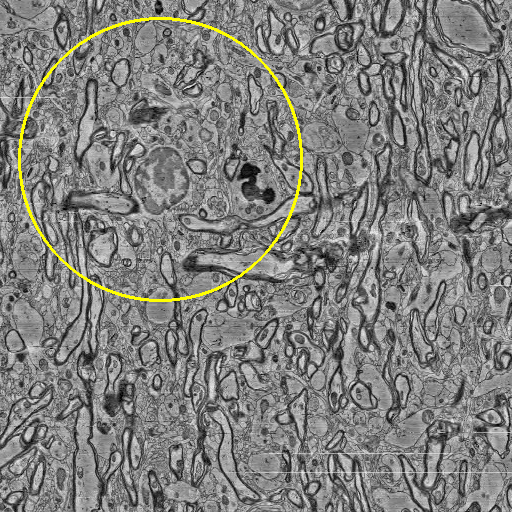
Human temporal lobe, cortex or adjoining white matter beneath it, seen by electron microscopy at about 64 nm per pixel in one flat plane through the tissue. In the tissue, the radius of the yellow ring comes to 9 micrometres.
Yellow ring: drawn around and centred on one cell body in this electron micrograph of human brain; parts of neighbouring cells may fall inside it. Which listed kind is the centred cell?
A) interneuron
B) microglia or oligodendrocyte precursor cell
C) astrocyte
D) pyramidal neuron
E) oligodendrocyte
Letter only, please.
B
